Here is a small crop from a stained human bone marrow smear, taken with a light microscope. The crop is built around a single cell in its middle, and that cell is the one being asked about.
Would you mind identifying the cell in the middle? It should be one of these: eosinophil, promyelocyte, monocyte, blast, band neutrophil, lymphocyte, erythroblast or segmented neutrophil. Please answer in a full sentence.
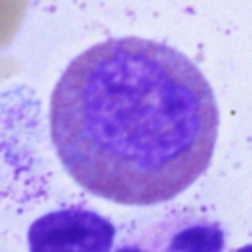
The cell positioned in the middle of the field is an eosinophil.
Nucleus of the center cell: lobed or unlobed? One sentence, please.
One compact mass makes up the whole nucleus, round, oval or kidney-shaped.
